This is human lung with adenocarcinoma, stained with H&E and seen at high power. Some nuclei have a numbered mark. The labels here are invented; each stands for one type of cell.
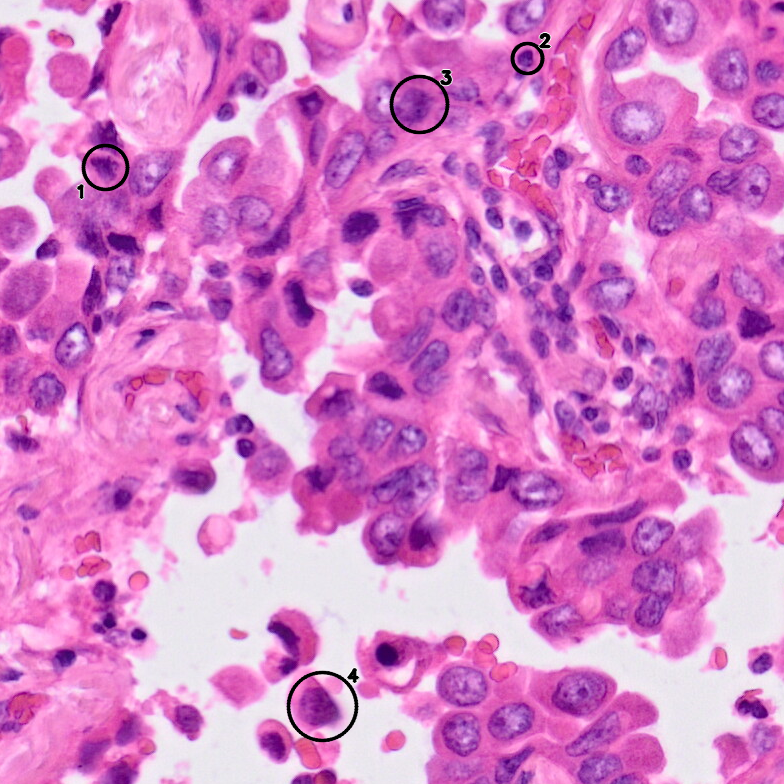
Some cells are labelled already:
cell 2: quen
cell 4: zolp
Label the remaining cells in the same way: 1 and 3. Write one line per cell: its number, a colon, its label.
1: zolp
3: zolp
